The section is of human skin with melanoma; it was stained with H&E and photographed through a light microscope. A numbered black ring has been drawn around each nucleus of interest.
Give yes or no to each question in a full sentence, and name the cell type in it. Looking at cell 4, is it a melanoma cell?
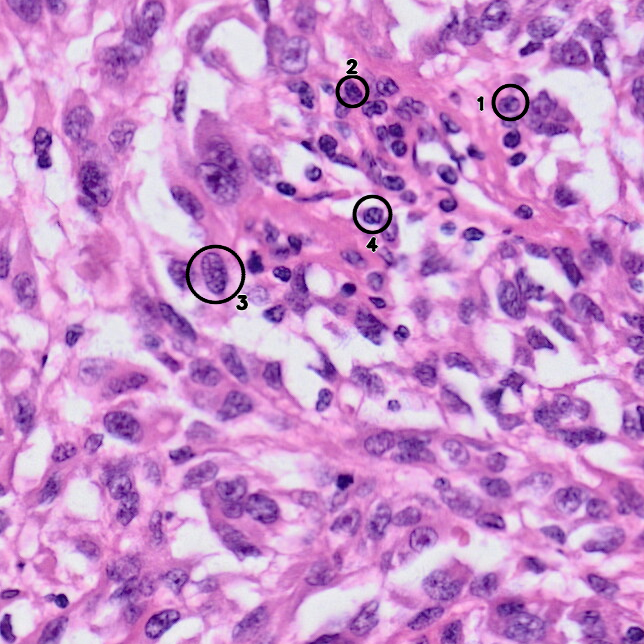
No, number 4 belongs to a lymphocyte, not to a melanoma cell.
